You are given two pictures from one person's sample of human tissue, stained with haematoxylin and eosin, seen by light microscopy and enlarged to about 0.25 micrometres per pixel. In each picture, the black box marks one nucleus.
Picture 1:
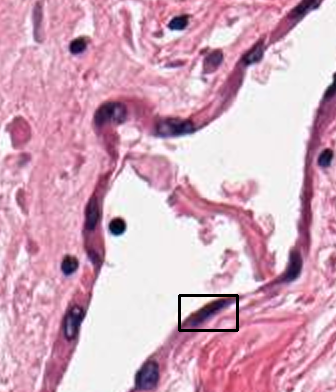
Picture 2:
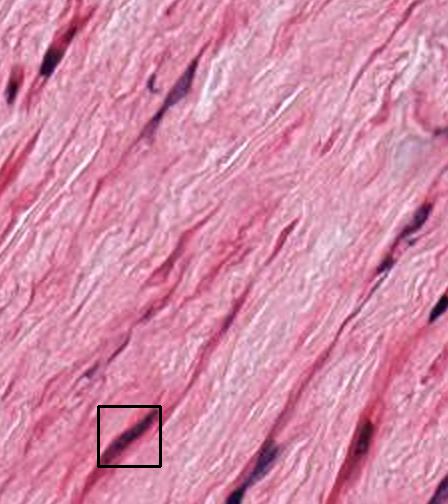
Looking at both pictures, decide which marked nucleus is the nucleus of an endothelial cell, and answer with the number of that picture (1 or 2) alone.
1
